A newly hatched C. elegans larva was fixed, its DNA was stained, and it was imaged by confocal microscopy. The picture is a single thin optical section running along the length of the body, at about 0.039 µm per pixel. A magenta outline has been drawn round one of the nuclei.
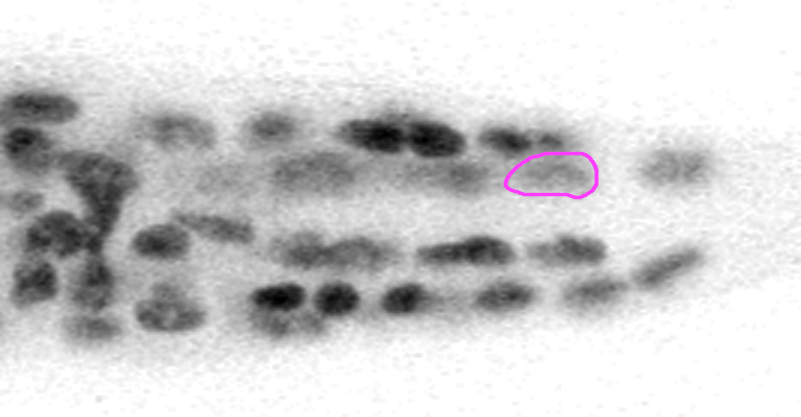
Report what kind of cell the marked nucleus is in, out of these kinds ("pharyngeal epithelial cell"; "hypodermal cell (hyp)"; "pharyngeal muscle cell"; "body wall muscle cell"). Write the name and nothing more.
pharyngeal epithelial cell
